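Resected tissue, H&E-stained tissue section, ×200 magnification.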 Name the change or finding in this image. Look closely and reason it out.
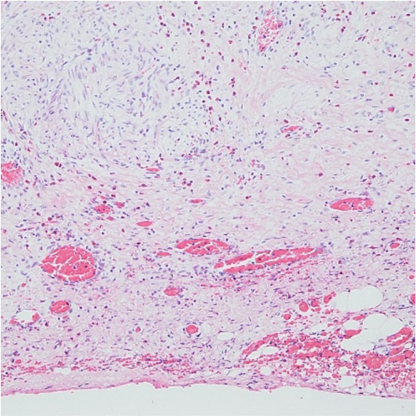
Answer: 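Many small cells with dark nuclei scattered diffusely through loose pink stroma. So: eosinophilic infiltration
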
